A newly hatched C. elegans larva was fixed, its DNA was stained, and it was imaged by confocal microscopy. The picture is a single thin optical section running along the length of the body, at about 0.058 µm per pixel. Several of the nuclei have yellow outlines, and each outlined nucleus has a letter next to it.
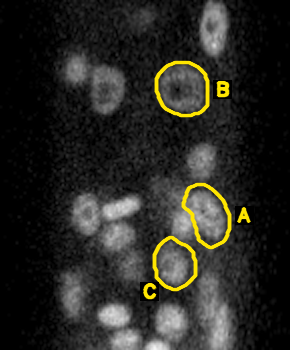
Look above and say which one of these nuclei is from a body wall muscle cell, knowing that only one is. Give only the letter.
A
